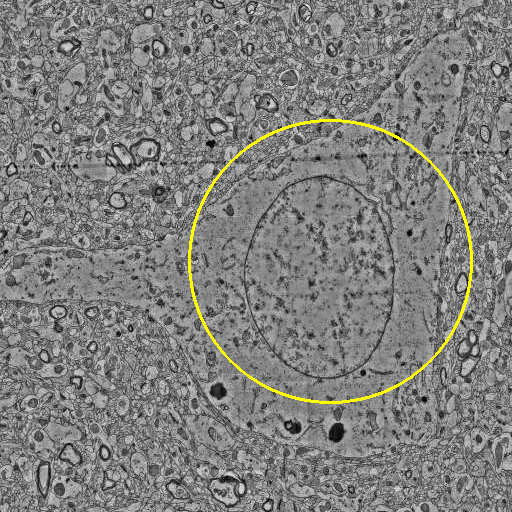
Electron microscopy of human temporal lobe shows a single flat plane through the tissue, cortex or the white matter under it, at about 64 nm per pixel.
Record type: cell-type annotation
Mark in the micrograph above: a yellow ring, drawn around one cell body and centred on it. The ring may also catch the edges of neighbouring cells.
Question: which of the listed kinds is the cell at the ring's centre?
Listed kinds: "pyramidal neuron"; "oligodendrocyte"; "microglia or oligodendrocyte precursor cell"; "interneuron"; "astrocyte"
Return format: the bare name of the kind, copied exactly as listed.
pyramidal neuron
